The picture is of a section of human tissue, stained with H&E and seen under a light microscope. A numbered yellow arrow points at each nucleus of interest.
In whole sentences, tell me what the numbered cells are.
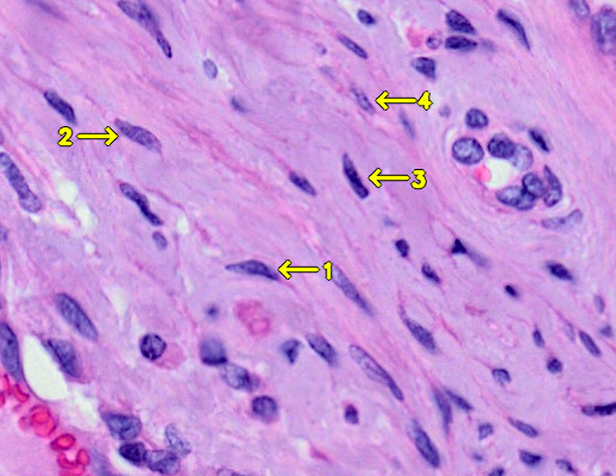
Cell 1 is a fibroblast, cell 2 is a fibroblast, cell 3 is a fibroblast and cell 4 is a smooth muscle cell.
